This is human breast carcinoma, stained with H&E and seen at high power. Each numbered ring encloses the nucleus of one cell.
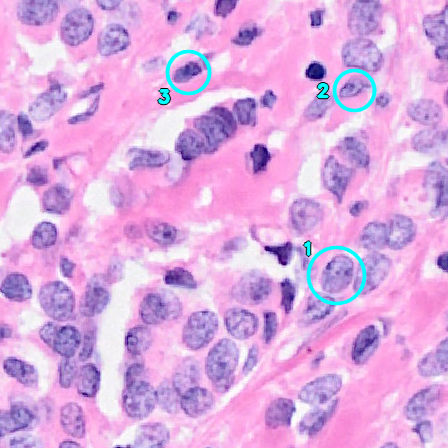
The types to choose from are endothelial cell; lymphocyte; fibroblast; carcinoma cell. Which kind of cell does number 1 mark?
carcinoma cell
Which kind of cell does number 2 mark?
endothelial cell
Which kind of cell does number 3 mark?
lymphocyte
